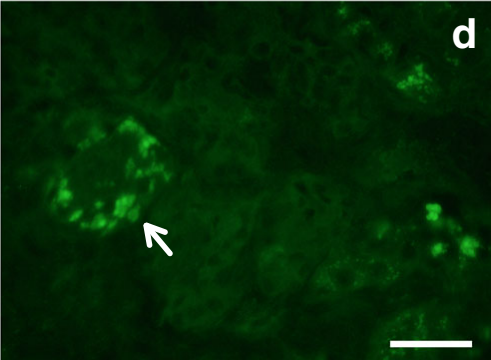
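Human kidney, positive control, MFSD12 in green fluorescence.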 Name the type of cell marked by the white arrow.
Tubular cells.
